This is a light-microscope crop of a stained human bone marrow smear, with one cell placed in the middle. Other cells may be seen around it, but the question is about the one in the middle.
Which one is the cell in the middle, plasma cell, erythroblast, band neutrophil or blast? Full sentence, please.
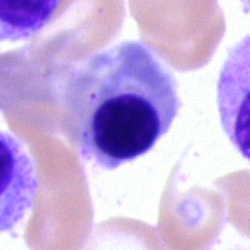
Present in the middle of the crop is an erythroblast.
